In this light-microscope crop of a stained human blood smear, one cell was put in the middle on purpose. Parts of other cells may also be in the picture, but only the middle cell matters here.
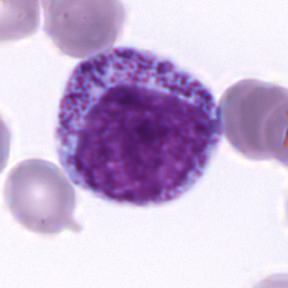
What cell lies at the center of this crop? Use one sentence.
Classified as a myelocyte is the cell in the middle of this crop.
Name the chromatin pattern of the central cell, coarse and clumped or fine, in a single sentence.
The chromatin is fine; coarse clumps are not a feature here.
